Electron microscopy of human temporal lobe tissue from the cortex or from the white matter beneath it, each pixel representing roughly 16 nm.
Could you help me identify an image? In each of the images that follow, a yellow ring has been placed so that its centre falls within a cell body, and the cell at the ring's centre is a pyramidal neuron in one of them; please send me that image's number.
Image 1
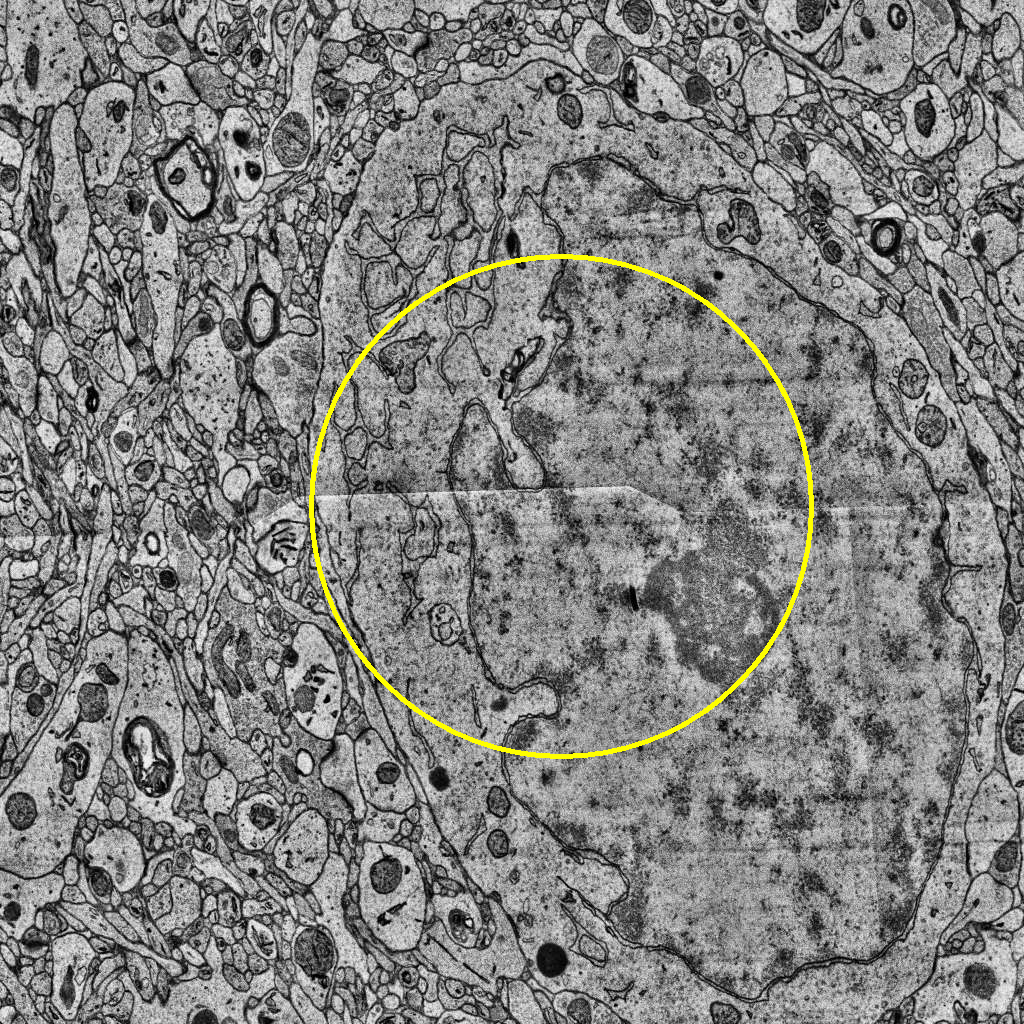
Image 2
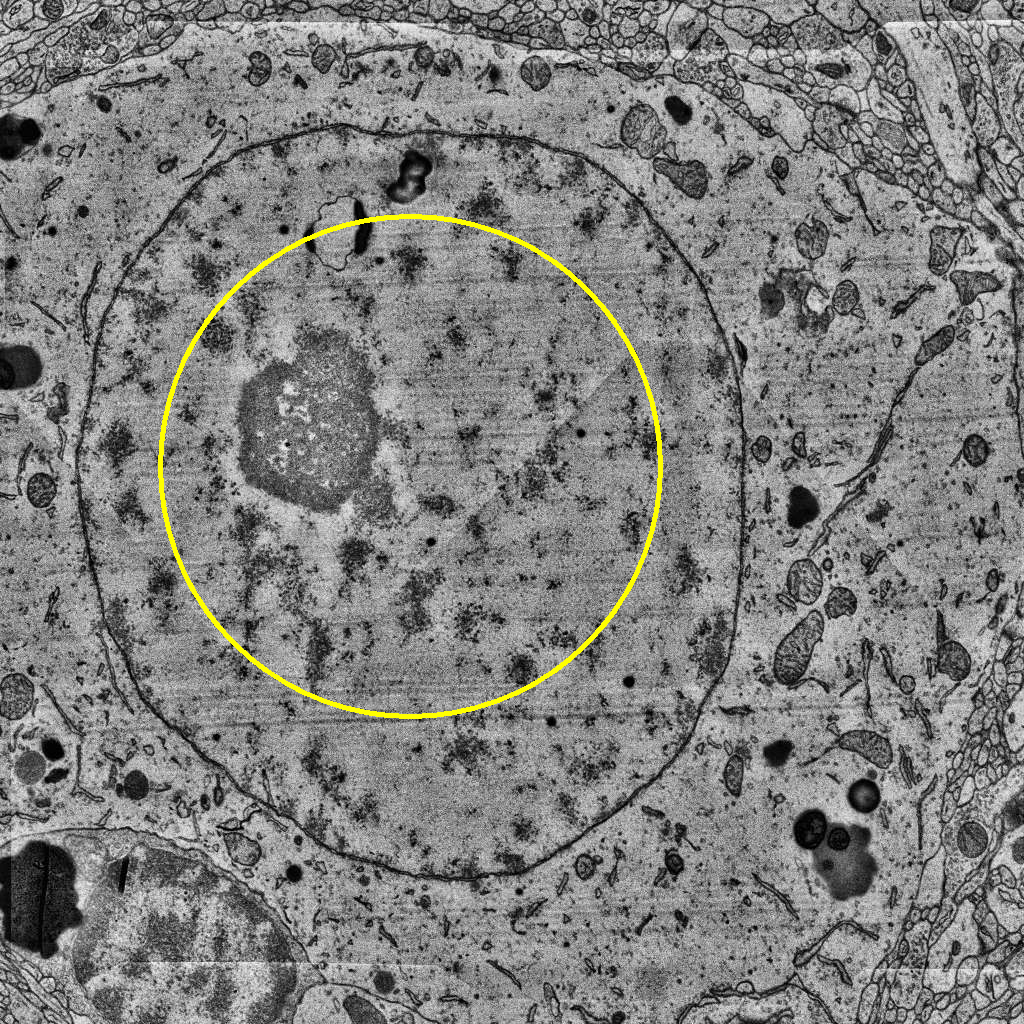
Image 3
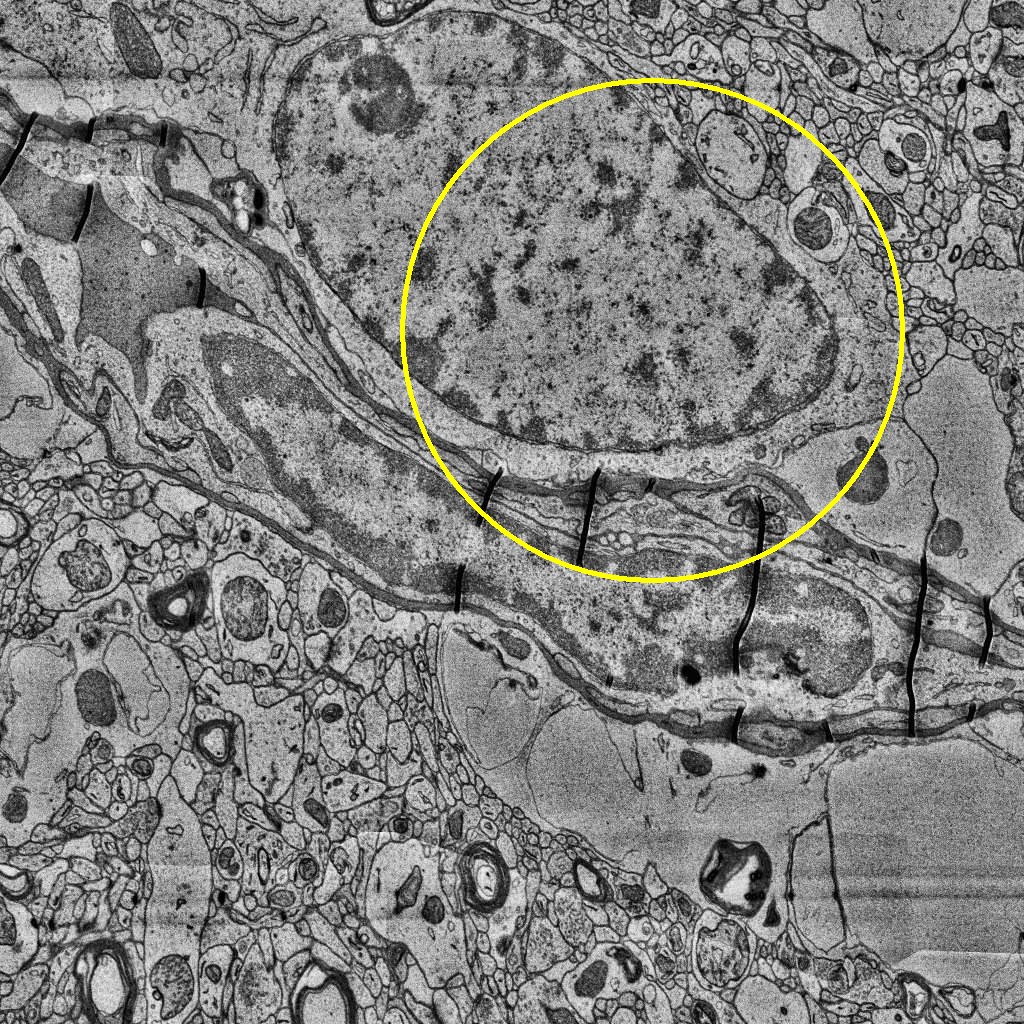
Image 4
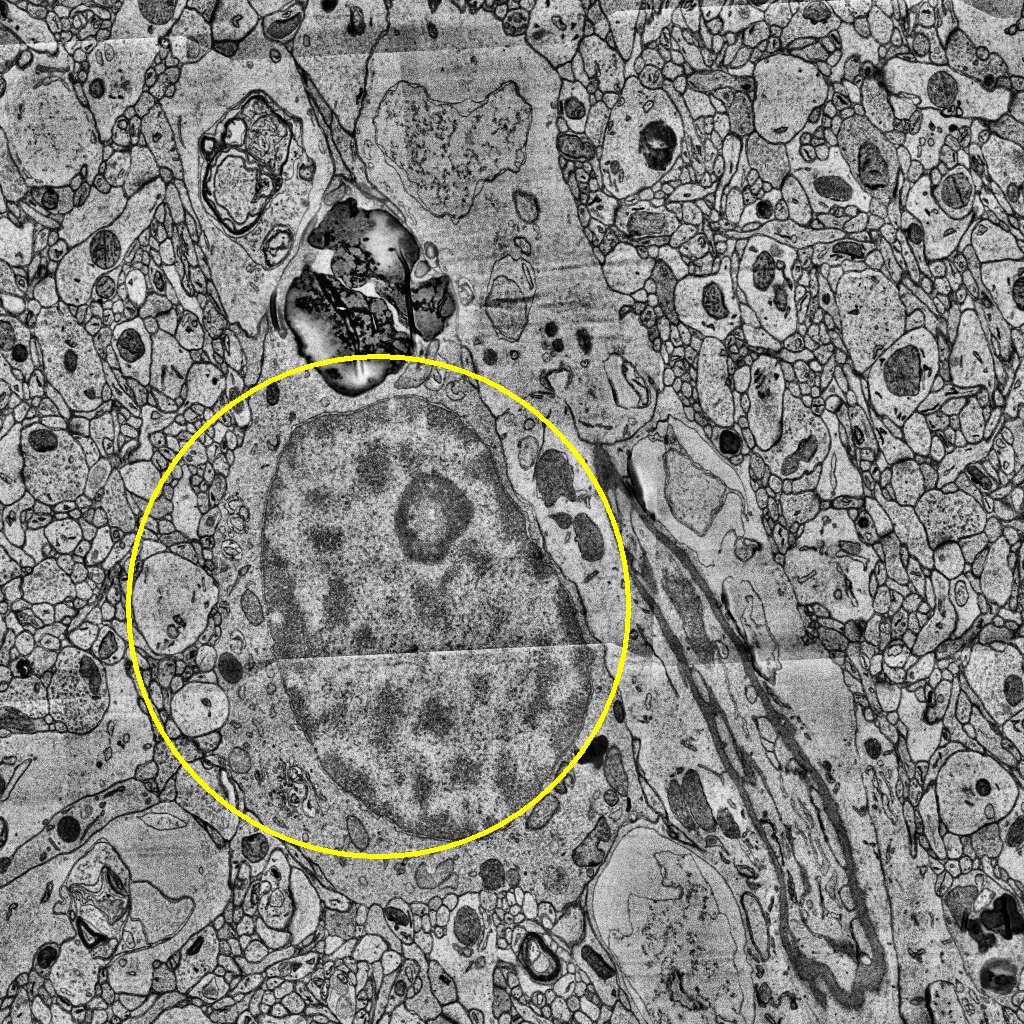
2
